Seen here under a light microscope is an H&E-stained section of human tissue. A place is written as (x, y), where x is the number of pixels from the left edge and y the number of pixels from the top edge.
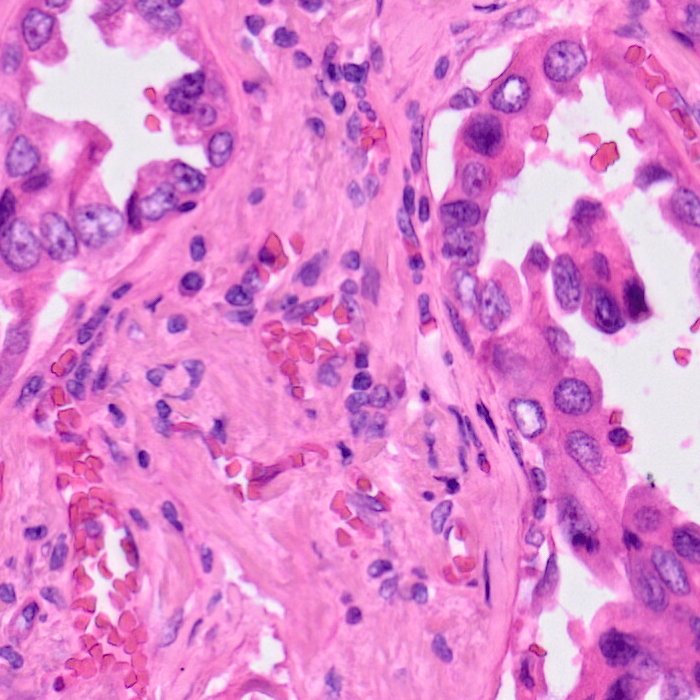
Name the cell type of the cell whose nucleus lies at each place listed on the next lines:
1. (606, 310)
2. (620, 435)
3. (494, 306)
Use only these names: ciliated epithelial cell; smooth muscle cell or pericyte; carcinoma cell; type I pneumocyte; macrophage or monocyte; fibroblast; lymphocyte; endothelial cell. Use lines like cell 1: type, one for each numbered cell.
cell 1: carcinoma cell
cell 2: lymphocyte
cell 3: carcinoma cell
